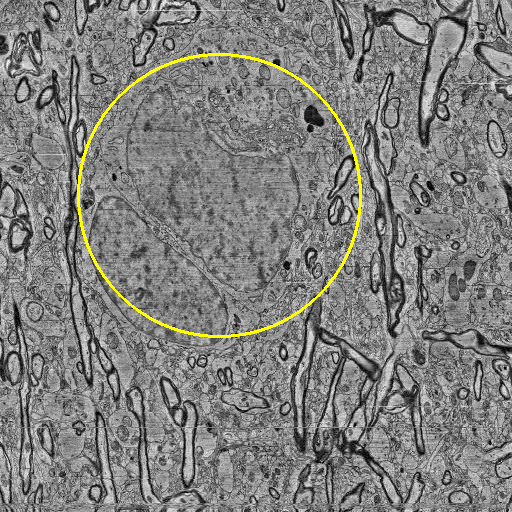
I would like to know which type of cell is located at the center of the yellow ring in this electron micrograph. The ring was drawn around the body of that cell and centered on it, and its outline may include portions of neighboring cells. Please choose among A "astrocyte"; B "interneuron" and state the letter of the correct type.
B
